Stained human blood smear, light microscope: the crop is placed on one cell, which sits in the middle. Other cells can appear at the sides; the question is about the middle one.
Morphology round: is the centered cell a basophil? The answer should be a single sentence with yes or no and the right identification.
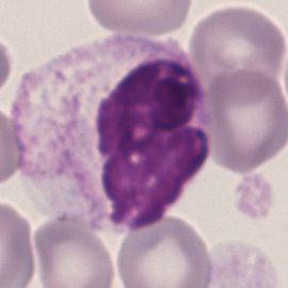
No, the cell in the middle of the crop counts as a segmented neutrophil and not as a basophil.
